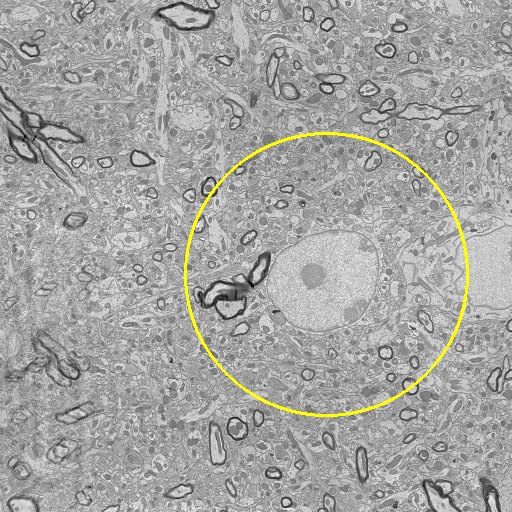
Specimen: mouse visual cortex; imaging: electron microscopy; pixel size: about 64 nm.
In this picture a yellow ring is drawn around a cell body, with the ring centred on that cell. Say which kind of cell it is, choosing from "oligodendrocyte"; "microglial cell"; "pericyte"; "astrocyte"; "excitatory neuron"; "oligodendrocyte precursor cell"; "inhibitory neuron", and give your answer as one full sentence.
Here it is an astrocyte that sits at the centre of the drawn yellow ring.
